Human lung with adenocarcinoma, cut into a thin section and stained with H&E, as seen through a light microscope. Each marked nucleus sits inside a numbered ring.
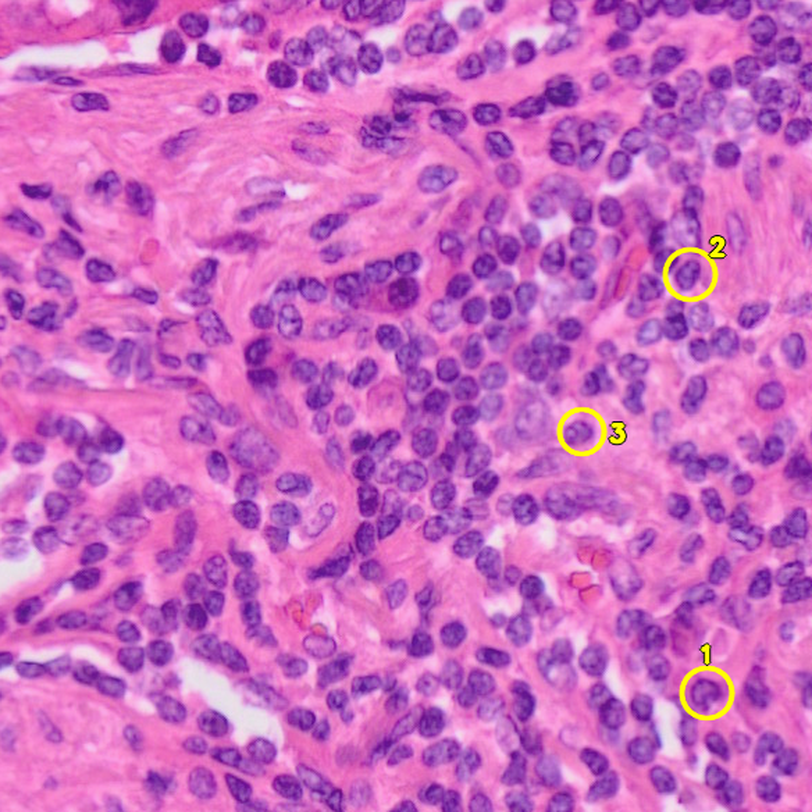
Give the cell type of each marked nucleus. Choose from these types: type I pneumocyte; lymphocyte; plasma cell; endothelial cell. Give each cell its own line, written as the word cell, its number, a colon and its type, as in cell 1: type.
cell 1: plasma cell
cell 2: lymphocyte
cell 3: lymphocyte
